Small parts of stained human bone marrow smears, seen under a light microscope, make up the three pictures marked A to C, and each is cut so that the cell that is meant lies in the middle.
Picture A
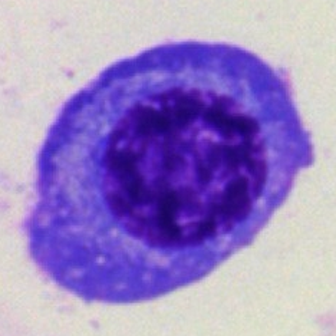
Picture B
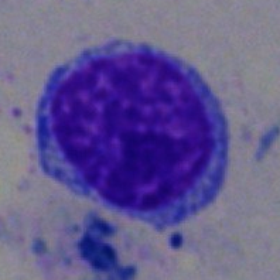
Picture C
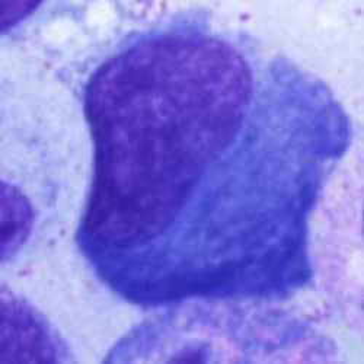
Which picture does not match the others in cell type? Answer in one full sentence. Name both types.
The different one is picture B; it shows a lymphocyte, whereas all the others show plasma cells.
